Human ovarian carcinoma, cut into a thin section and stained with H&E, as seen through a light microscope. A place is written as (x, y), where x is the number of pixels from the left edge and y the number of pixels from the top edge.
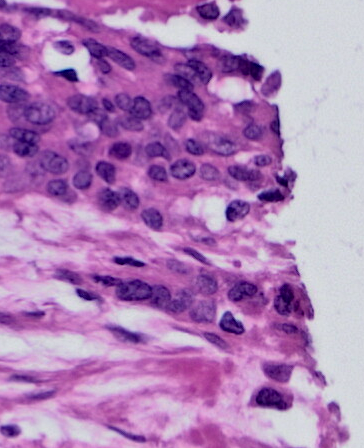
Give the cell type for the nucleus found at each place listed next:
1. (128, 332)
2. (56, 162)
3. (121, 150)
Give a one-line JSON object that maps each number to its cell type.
{"1": "fibroblast", "2": "carcinoma cell", "3": "carcinoma cell"}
